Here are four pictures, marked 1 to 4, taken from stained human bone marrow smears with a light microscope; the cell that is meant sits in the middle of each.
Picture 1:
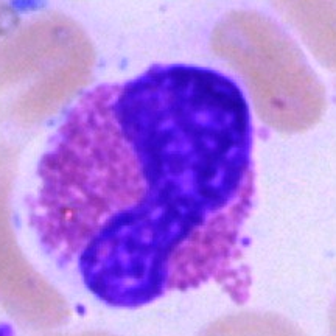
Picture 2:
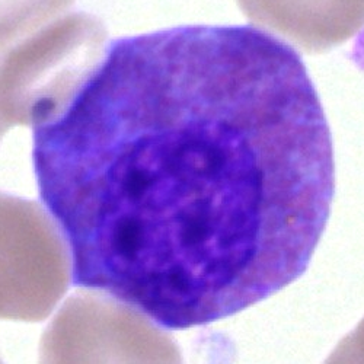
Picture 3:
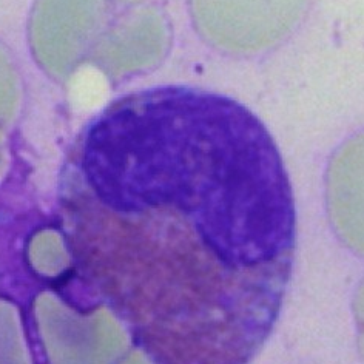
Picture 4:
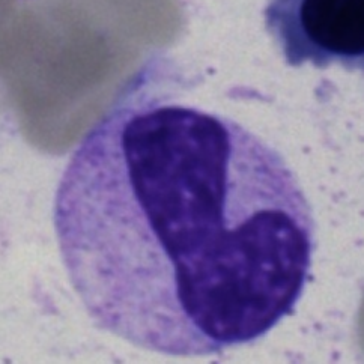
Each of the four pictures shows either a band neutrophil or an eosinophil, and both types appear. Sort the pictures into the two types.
1: eosinophil
2: eosinophil
3: eosinophil
4: band neutrophil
